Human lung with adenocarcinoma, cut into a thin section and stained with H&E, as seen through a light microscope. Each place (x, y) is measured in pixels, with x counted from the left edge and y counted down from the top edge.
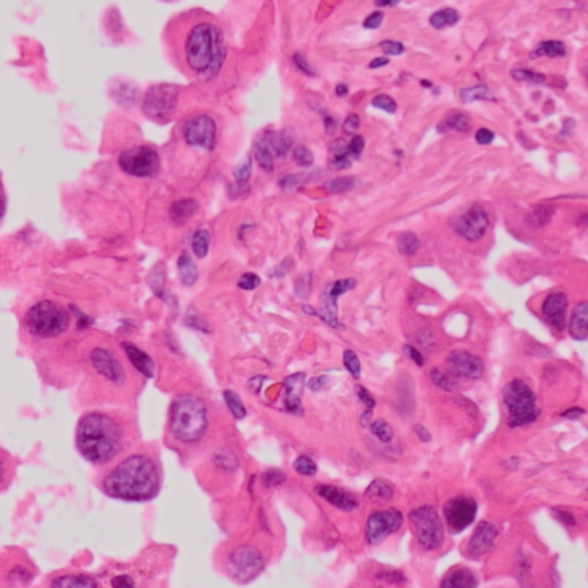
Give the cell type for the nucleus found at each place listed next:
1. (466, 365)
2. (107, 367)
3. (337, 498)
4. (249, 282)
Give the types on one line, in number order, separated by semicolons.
carcinoma cell; carcinoma cell; carcinoma cell; lymphocyte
